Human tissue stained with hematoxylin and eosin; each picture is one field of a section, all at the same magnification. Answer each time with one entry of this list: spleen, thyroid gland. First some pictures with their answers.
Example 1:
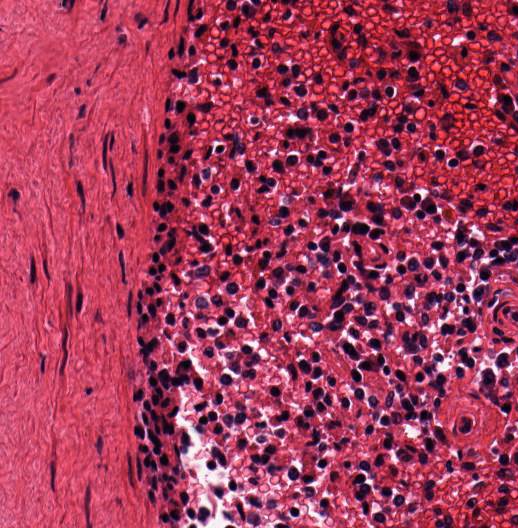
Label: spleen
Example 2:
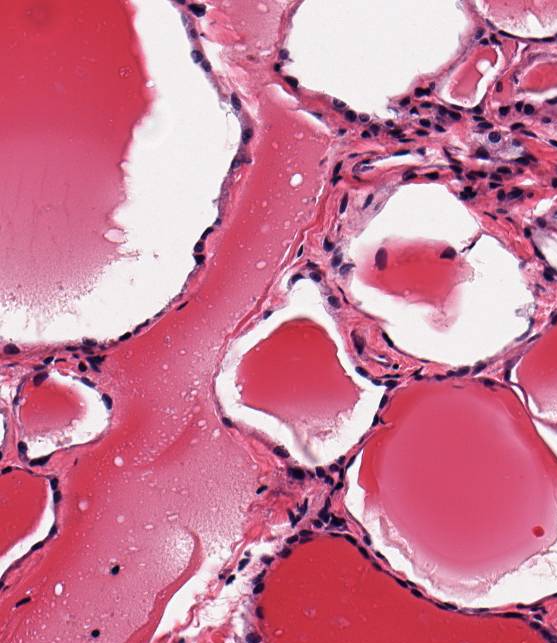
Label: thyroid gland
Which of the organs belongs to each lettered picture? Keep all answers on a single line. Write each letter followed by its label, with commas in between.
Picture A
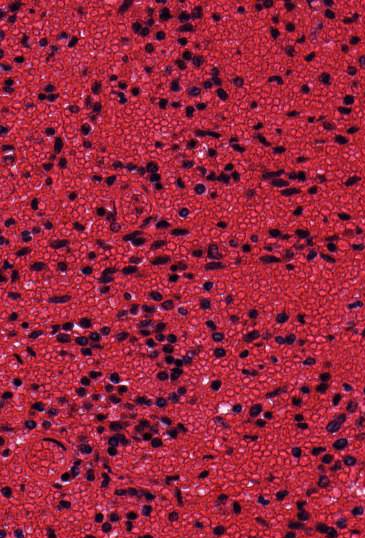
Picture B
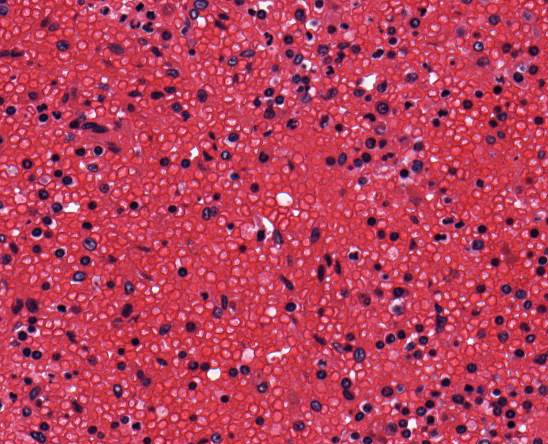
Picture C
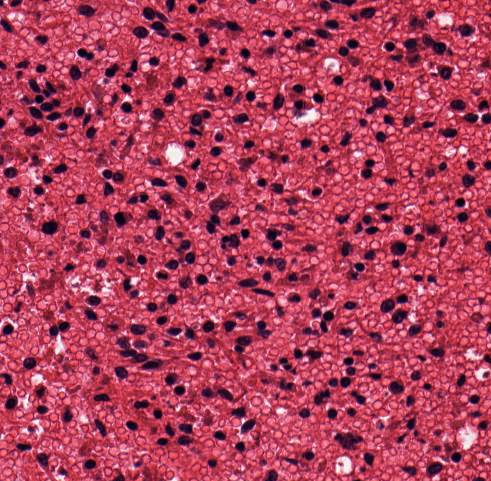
A spleen, B spleen, C spleen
